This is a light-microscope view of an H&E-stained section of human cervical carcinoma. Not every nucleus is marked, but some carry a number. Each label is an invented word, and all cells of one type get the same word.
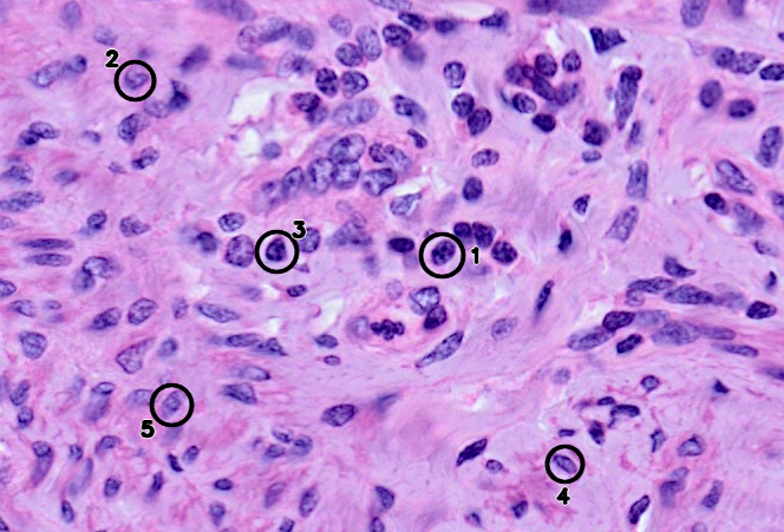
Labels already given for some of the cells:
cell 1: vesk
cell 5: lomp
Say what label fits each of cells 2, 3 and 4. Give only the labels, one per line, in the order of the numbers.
lomp
vesk
lomp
